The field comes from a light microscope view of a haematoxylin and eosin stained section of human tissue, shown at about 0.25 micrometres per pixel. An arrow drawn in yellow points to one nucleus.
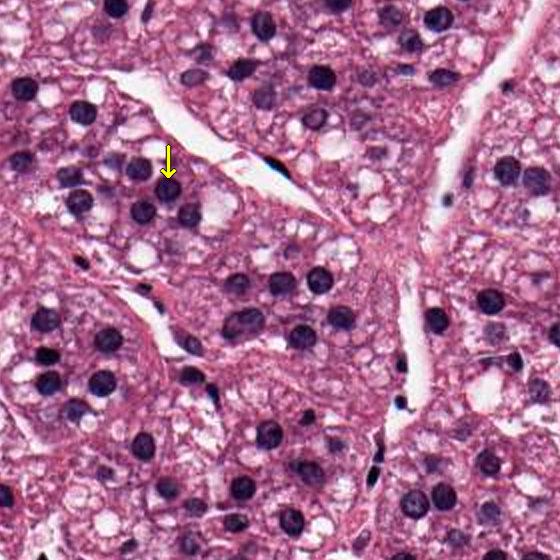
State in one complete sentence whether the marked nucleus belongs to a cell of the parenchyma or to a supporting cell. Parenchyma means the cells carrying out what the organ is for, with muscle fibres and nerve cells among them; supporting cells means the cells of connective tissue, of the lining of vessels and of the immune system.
The marked nucleus is located in a parenchymal cell, namely an adrenal cortical cell.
